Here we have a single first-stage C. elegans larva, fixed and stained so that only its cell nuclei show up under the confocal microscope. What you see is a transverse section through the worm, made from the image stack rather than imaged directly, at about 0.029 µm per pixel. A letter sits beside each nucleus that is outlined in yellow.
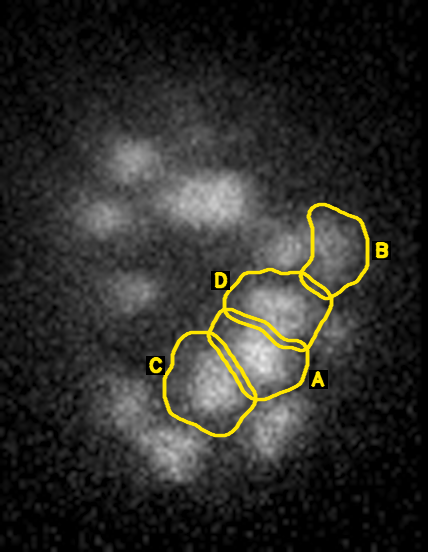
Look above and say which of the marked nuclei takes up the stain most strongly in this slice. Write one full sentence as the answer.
A is the most strongly stained.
